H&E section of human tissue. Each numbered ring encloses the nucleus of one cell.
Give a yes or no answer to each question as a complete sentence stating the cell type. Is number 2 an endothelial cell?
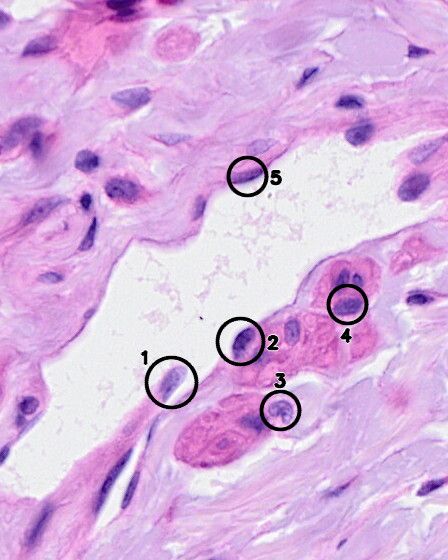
Yes, number 2 corresponds to an endothelial cell.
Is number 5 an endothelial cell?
Yes, the marked cell numbered 5 is an endothelial cell.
